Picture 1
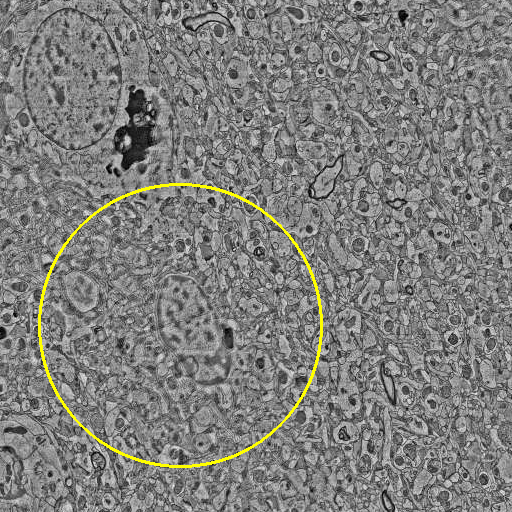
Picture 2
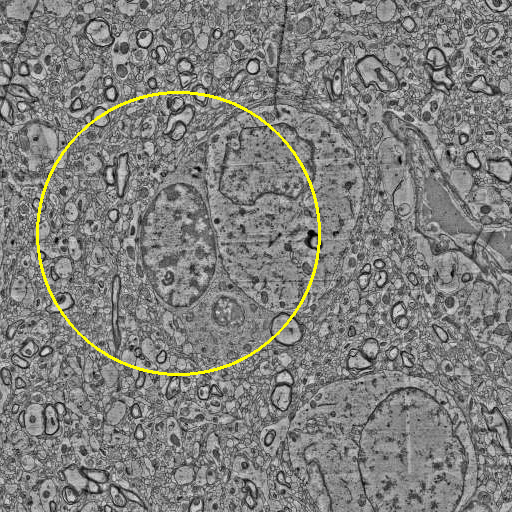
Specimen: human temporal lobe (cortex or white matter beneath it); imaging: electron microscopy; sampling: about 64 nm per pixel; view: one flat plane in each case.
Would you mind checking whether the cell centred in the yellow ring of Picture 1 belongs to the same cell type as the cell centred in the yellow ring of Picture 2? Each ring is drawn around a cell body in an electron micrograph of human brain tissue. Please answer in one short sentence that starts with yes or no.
No, the two cells are of two types.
